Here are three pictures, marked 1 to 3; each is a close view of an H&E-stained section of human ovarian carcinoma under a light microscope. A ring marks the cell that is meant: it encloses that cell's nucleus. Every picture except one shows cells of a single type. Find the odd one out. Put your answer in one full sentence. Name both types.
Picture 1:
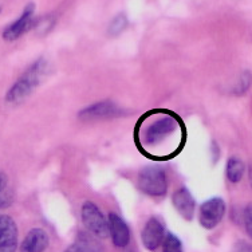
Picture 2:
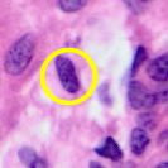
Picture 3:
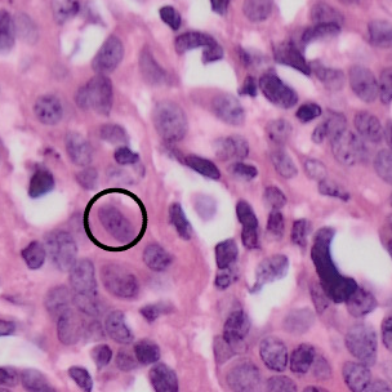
Picture 3 is the odd one out: it shows a carcinoma cell, while the others show “macrophages or monocytes”.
